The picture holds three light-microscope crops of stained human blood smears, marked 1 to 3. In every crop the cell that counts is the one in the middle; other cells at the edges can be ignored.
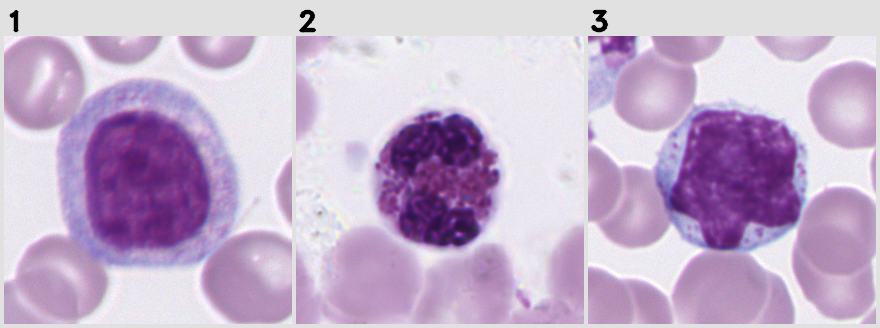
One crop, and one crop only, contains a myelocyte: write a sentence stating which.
In the set of crops, crop 1 is the one that contains a myelocyte.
